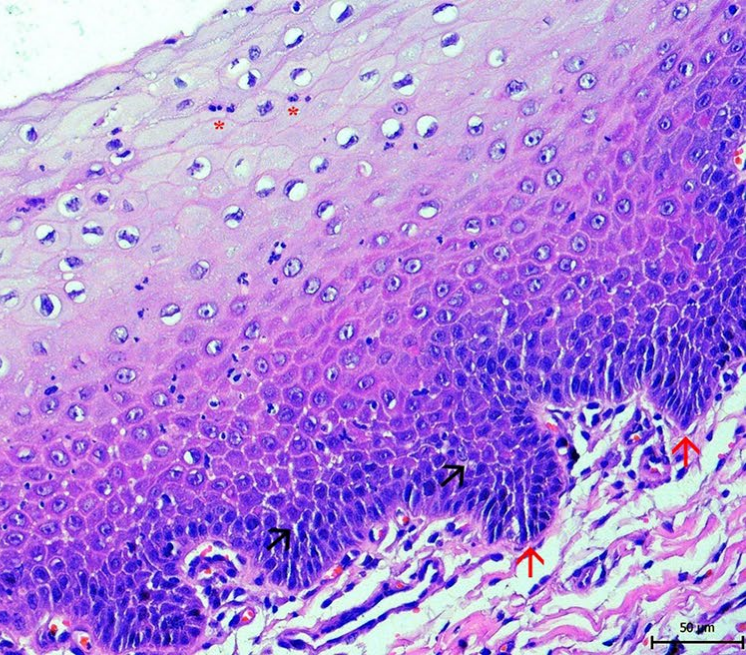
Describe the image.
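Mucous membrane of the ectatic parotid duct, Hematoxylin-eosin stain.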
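In the lower layers the cells are separated by pale widened spaces, and broad epithelial ridges dip into the loose pink connective tissue below. Near the surface, small dark lobed nuclei of inflammatory cells lie among the epithelial cells.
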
